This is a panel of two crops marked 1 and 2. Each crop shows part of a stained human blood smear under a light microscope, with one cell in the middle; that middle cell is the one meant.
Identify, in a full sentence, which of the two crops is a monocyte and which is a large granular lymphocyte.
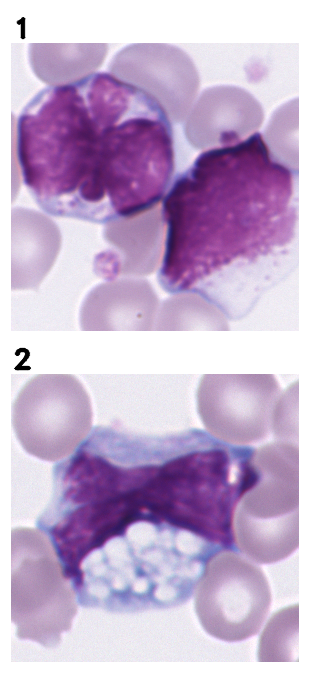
Crop 1 is classified as a large granular lymphocyte, and crop 2 as a monocyte.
